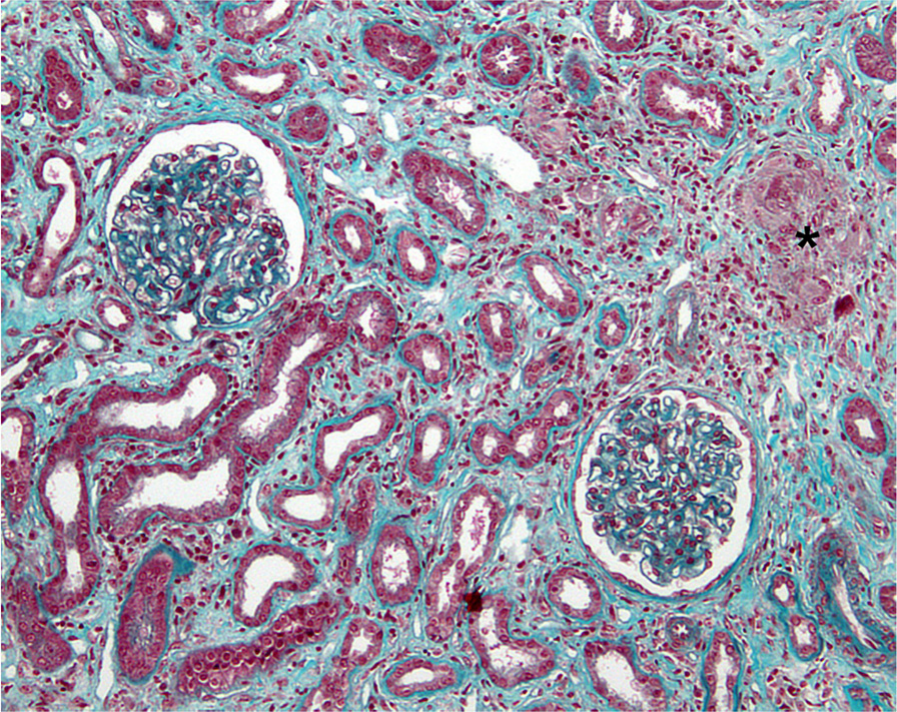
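This is renal cortex with two glomeruli. Their capillary loops look delicate and open, and each glomerulus sits within a clear Bowman’s space. The surrounding tubules are separated by blue-green interstitial connective tissue, which holds many scattered small dark nuclei. At the upper right, a pale pink nodular aggregate of large epithelioid cells with abundant cytoplasm forms a granuloma in the interstitium.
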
